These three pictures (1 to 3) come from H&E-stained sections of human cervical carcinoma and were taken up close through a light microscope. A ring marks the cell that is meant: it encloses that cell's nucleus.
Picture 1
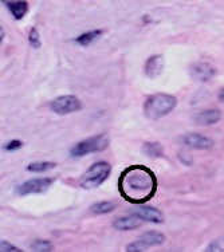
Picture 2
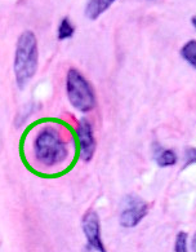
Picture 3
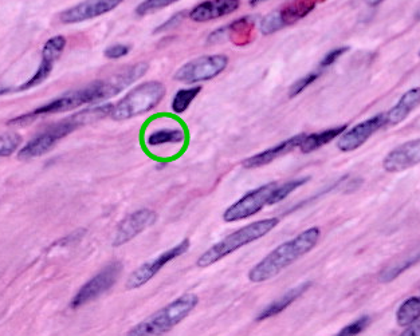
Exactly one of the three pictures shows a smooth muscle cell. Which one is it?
1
